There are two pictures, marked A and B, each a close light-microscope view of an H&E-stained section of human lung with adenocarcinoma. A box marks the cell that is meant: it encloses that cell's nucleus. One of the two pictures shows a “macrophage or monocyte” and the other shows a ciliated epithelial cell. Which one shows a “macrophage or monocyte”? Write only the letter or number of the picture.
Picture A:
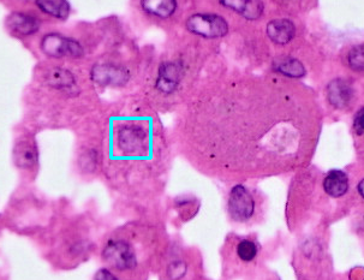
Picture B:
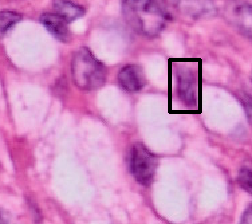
A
